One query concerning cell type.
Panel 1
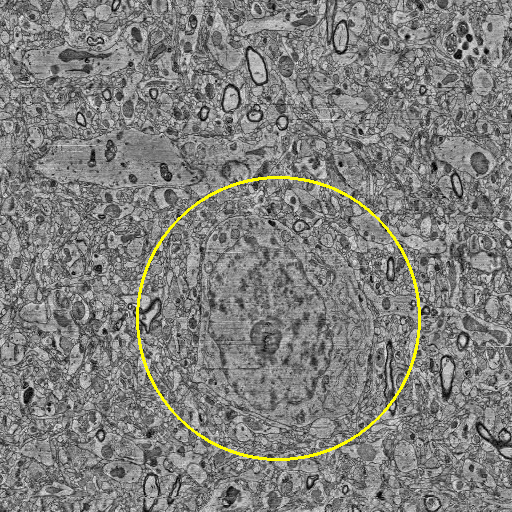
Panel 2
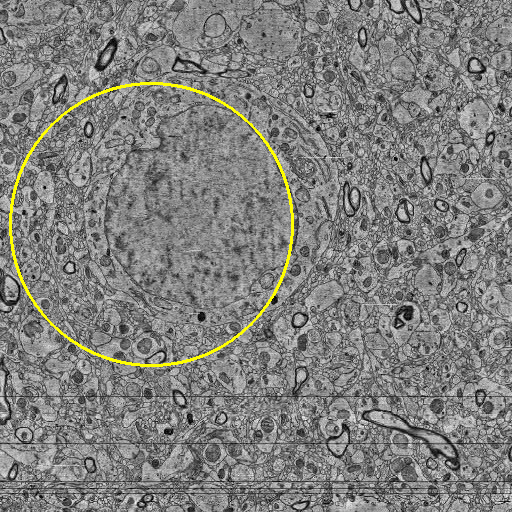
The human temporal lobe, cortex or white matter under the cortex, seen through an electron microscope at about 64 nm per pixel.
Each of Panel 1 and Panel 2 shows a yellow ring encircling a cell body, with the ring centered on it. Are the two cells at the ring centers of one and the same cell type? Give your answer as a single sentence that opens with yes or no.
Yes, the cell centered in Panel 1 and the one in Panel 2 share a type.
